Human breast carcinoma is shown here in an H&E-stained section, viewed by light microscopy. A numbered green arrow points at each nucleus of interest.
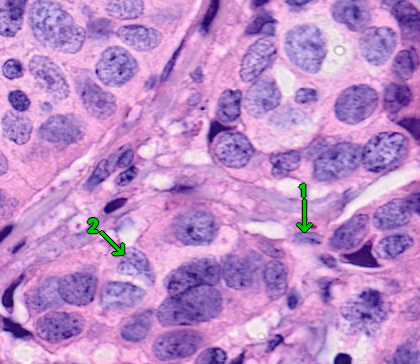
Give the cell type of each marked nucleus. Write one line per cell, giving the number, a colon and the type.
1: endothelial cell
2: carcinoma cell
